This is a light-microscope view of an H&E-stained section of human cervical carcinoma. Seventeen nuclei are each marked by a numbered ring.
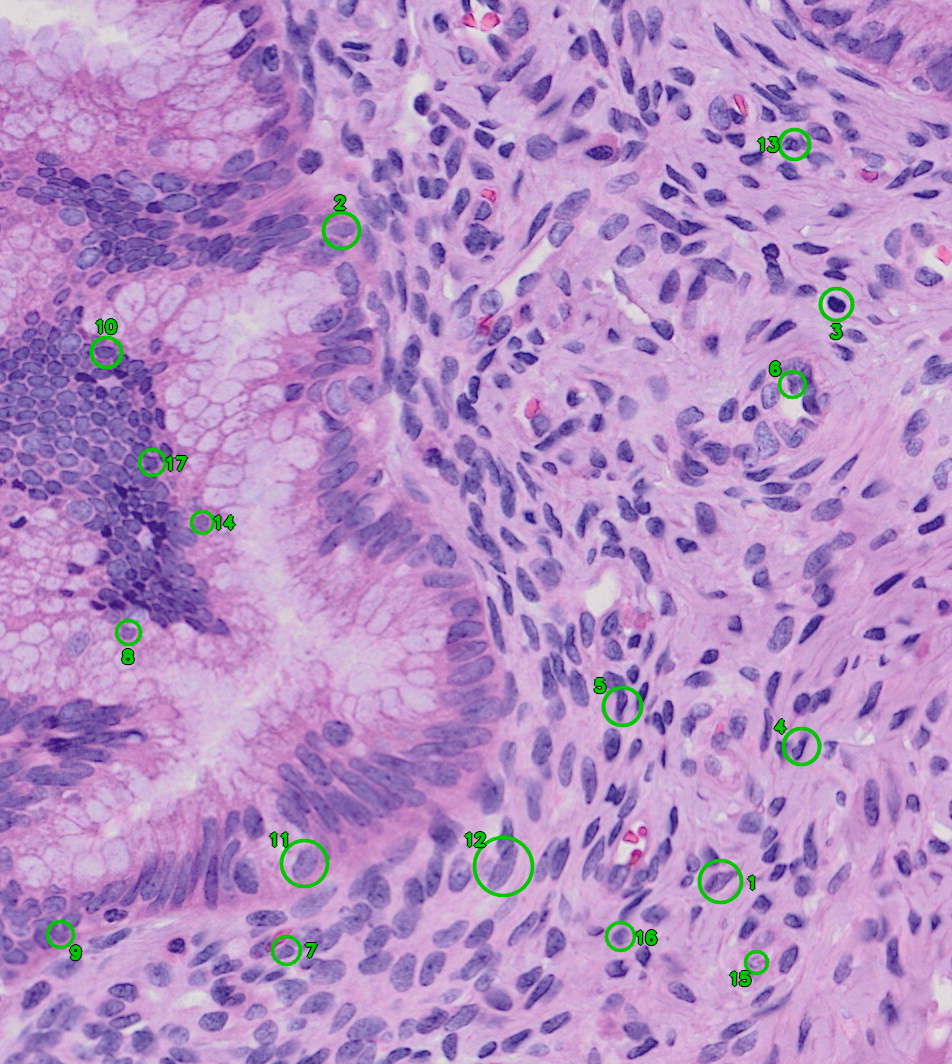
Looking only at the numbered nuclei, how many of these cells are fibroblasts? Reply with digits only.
6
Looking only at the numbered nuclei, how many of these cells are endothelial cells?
3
